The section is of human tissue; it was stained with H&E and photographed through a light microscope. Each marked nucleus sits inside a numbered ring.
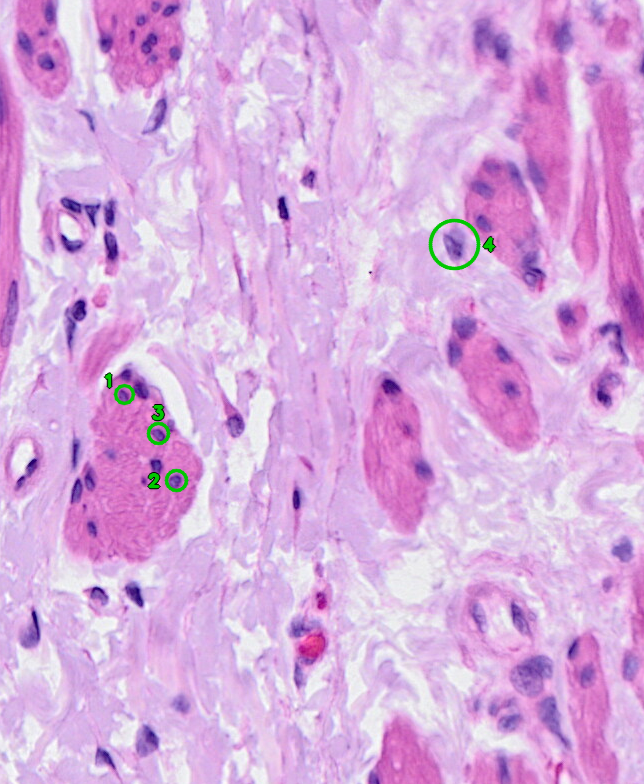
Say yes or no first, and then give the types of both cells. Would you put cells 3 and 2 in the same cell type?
Yes, both are smooth muscle cells.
